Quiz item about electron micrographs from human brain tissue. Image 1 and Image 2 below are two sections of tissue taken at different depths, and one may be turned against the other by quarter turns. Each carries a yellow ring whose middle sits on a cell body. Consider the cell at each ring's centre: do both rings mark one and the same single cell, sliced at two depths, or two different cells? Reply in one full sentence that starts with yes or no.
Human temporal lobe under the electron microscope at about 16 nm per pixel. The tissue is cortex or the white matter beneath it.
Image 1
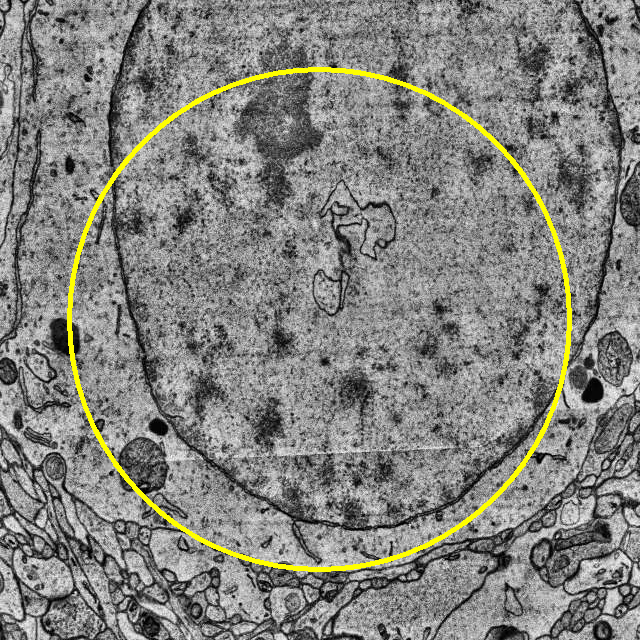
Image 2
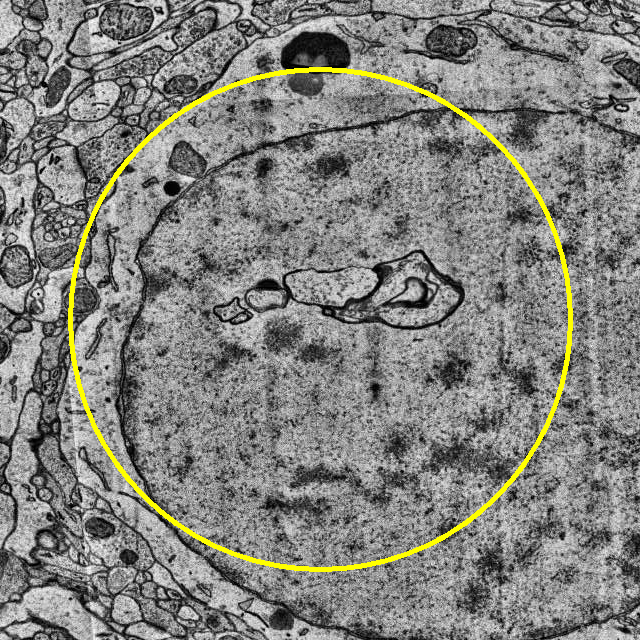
Yes, the cell marked in each ring is one and the same.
